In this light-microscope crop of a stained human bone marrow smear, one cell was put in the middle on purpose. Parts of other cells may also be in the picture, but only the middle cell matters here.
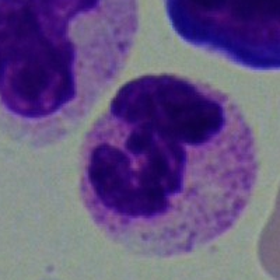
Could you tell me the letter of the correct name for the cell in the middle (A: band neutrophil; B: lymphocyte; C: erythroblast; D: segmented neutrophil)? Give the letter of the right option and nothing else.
D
